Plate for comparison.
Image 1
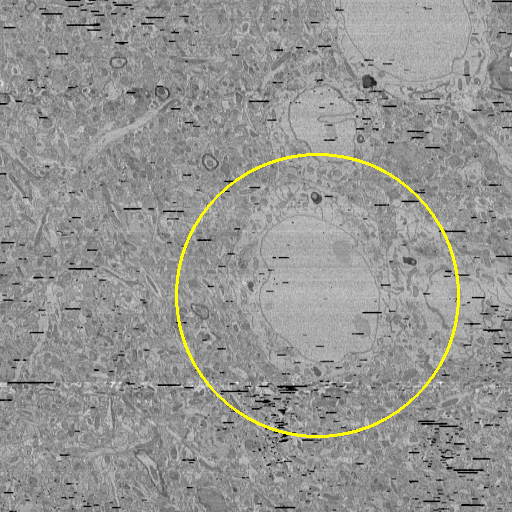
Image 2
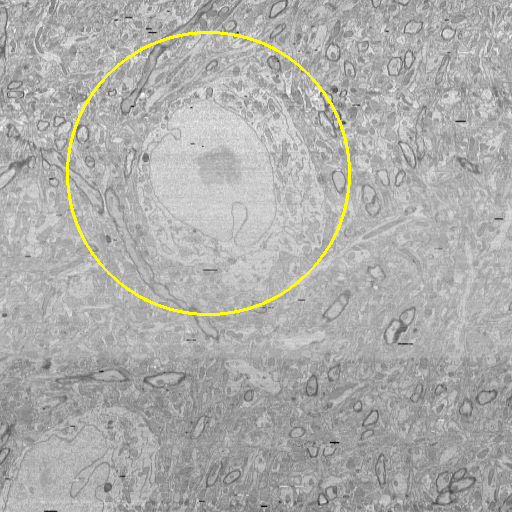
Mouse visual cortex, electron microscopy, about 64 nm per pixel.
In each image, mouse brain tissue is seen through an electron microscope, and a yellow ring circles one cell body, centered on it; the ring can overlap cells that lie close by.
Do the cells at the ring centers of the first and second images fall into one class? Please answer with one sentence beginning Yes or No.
No, the first and second images show two classes of cell at the ring centers.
